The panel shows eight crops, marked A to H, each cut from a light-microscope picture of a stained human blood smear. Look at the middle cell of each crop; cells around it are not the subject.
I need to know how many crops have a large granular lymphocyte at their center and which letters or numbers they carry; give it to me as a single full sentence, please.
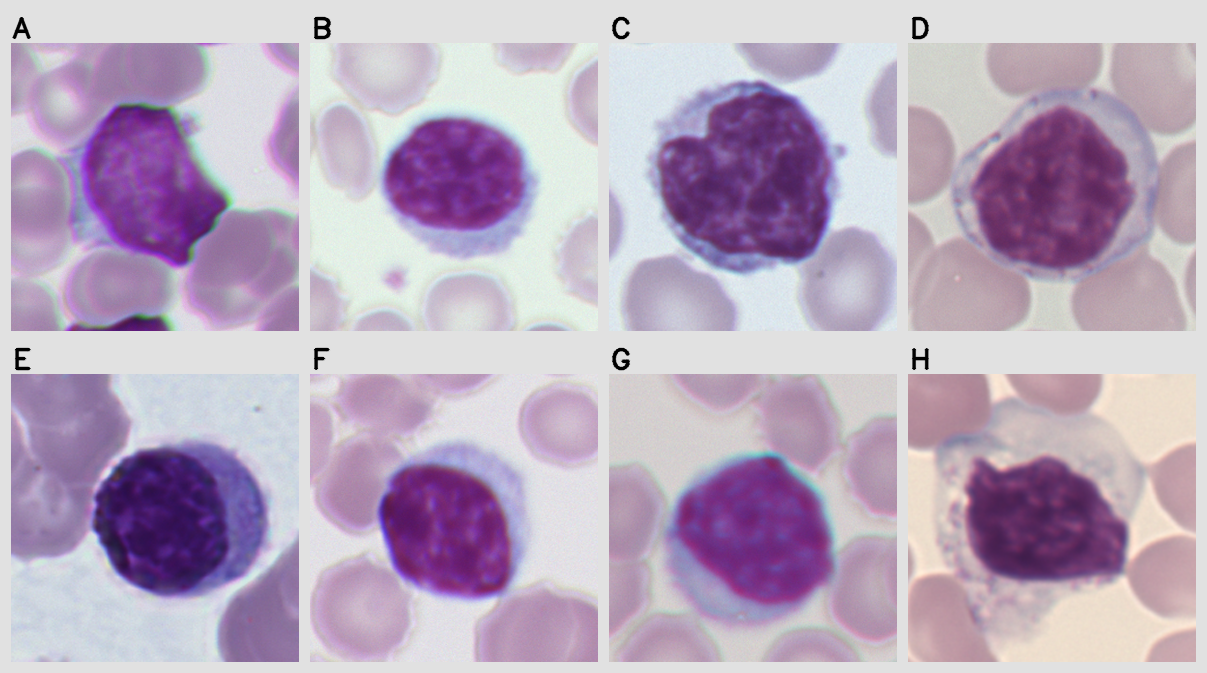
Crops D and H, two in number, show large granular lymphocytes.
